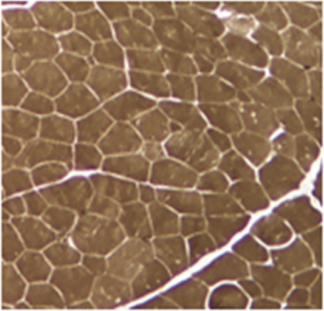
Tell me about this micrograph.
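This is a cross-section of skeletal muscle in which the muscle fibers appear as closely packed polygonal profiles. Nearly all fibers are stained a similar medium brown, with no clear mosaic of light and dark fibers. Adjacent fibers are separated by thin white lines of the spaces between fibers. A wider white band runs diagonally across the lower part of the field, dividing the fibers into groups. Nuclei are not distinctly visible at this staining.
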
